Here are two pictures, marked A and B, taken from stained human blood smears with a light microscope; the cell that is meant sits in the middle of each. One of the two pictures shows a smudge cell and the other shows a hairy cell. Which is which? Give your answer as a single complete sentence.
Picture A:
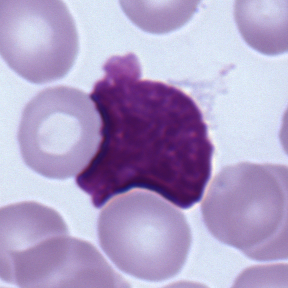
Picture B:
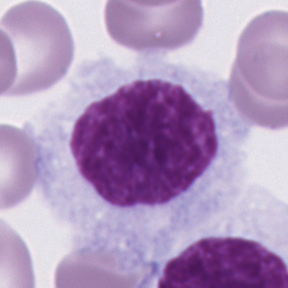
In picture A the cell is a smudge cell; in picture B, a hairy cell.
